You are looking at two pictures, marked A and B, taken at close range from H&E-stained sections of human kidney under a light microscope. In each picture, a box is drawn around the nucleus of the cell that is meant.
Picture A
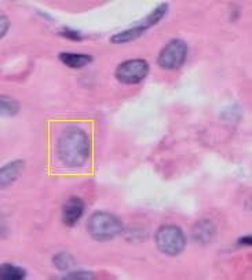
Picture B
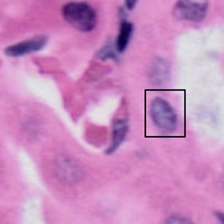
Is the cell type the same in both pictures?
yes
